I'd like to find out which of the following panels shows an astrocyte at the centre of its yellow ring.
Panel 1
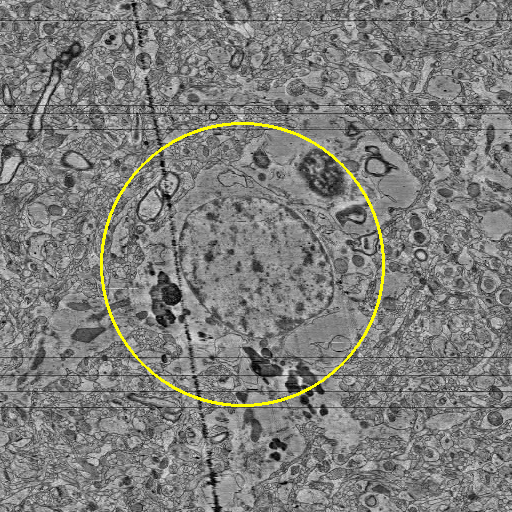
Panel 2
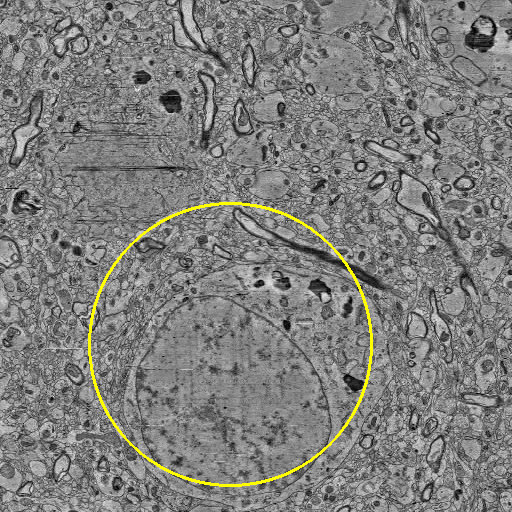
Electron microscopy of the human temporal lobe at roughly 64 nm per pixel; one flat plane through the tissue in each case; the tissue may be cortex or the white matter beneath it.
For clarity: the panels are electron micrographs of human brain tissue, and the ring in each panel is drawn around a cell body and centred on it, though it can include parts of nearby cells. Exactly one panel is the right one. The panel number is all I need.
1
